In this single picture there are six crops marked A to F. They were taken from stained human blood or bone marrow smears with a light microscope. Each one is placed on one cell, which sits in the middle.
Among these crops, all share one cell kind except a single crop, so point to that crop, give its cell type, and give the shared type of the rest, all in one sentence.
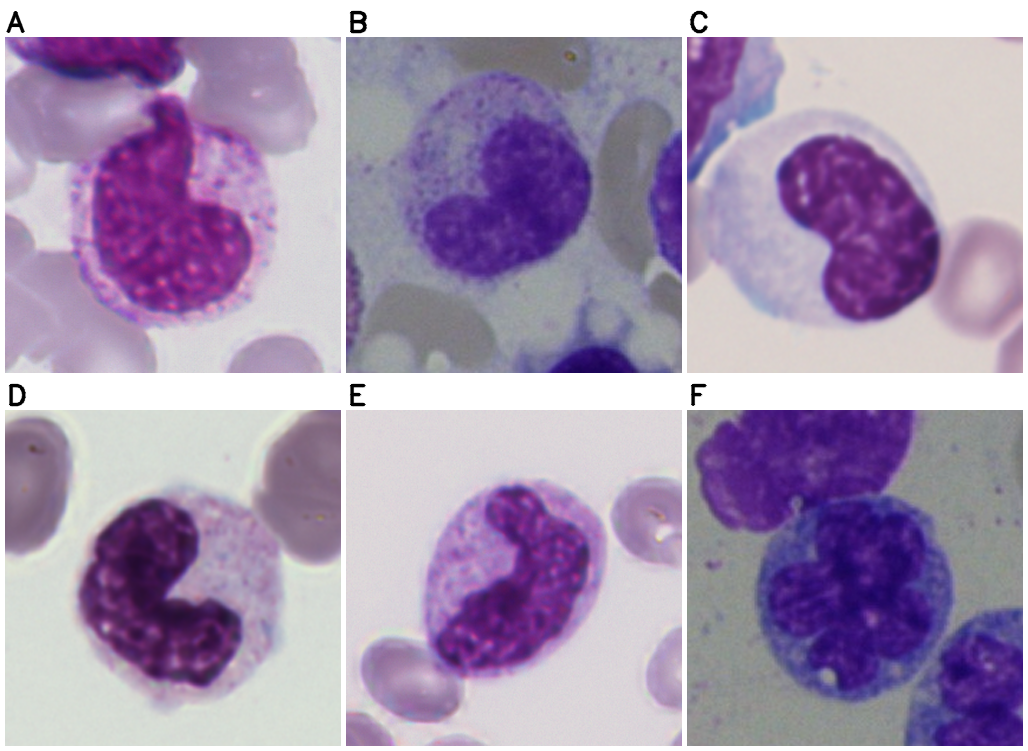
The central cell of crop F is a monocyte, while the other crops show band neutrophils.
